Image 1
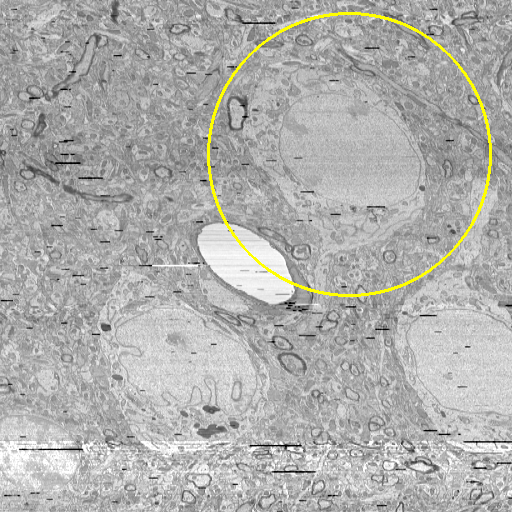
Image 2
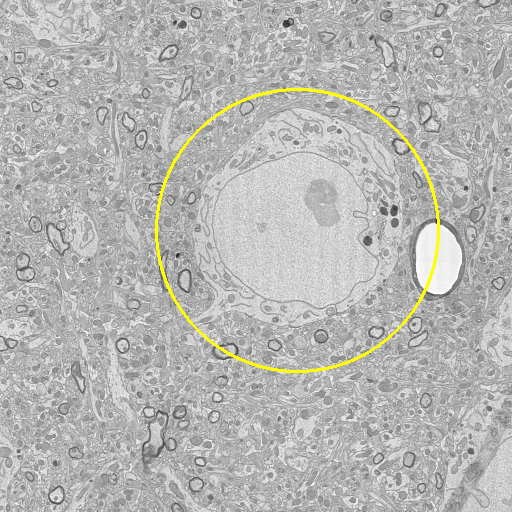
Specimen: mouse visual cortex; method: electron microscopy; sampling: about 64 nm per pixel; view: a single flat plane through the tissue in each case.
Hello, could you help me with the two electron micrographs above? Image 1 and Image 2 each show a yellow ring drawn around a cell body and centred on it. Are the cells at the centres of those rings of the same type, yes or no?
yes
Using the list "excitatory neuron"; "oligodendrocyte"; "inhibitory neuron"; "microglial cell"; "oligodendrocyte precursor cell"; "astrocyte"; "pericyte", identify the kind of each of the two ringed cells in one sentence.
Both rings mark an excitatory neuron, one in each picture.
